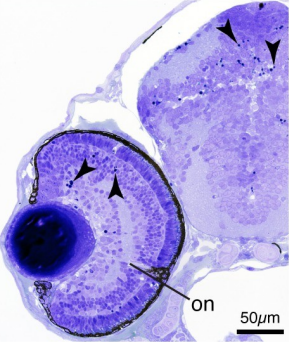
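A section through the head shows the eye, with a dark blue round lens, a cup of layered retina around it, and the tectum of the brain beside it, all stained in shades of blue-purple. Scattered through the retina and through the tectum lie small, very dark, tightly condensed round dots, much smaller and denser than the neighbouring nuclei. These are pyknotic nuclei, the shrunken condensed nuclei of dying cells, dispersed through both tissues.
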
